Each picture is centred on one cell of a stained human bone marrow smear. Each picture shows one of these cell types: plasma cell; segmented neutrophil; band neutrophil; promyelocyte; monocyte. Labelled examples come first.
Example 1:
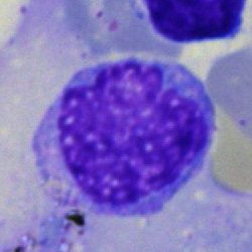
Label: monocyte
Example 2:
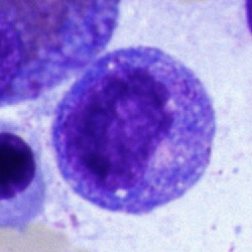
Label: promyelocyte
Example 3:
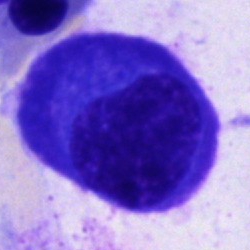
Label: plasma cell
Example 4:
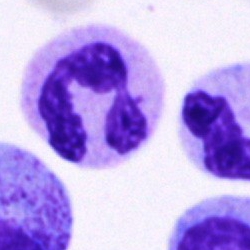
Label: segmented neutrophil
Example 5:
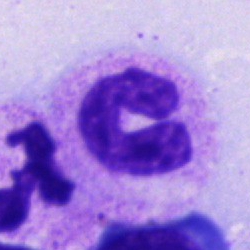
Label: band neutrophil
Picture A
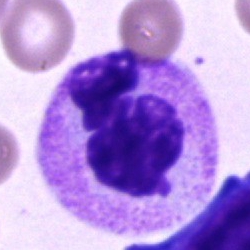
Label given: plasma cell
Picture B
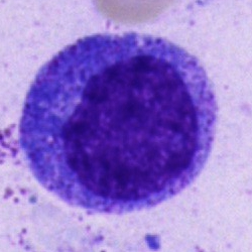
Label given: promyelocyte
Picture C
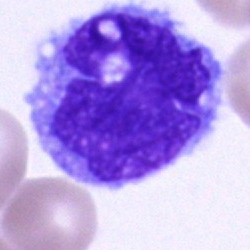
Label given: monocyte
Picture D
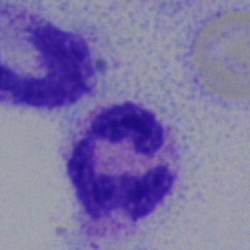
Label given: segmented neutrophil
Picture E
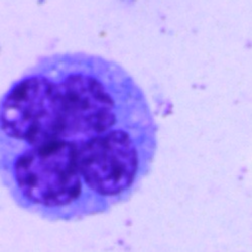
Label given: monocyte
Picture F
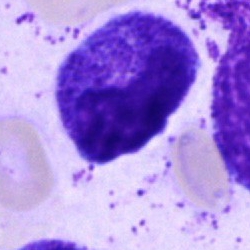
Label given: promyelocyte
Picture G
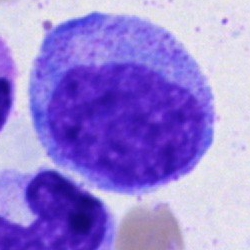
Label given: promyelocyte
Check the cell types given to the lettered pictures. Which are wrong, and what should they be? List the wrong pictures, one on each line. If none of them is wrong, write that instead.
Wrong: A (plasma cell); correct: segmented neutrophil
